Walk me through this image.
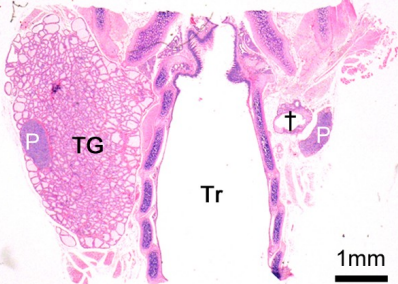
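A frontal section shows a large thyroid lobe made of numerous colloid-filled follicles on one side of the trachea, with a compact purple parathyroid gland embedded near its outer edge. The trachea runs vertically as an open channel bordered by segmented purple cartilage. On the opposite side of the trachea no thyroid lobe is present. Instead there is a small dense purple parathyroid gland next to a small rounded cystic cavity.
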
